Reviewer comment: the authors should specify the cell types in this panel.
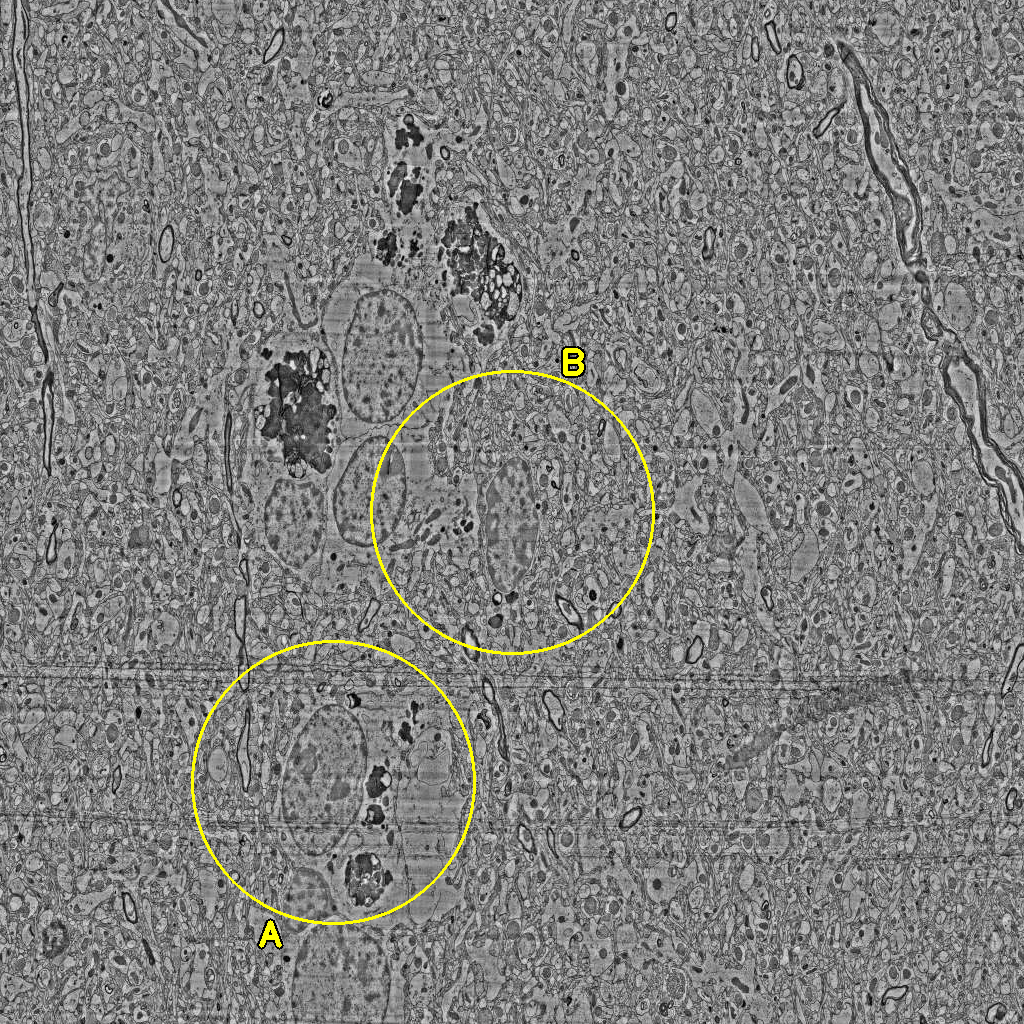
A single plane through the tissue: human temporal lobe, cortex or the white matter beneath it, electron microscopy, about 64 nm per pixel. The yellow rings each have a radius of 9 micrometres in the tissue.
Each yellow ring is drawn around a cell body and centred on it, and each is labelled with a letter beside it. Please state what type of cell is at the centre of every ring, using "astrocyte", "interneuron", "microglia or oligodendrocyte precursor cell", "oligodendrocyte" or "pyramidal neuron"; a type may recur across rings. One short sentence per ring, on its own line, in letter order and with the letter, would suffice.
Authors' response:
The cell centred within ring A is an astrocyte.
The cell centred within ring B is a microglial cell or oligodendrocyte precursor cell.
